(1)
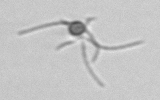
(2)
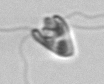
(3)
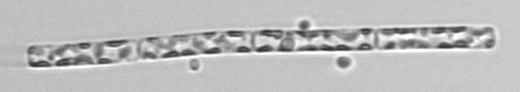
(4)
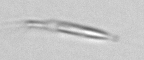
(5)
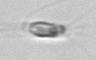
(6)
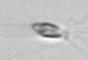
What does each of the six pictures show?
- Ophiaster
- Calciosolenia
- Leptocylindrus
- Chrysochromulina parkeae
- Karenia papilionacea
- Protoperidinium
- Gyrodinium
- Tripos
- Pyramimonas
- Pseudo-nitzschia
(1) Ophiaster
(2) Pyramimonas
(3) Leptocylindrus
(4) Calciosolenia
(5) Chrysochromulina parkeae
(6) Chrysochromulina parkeae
